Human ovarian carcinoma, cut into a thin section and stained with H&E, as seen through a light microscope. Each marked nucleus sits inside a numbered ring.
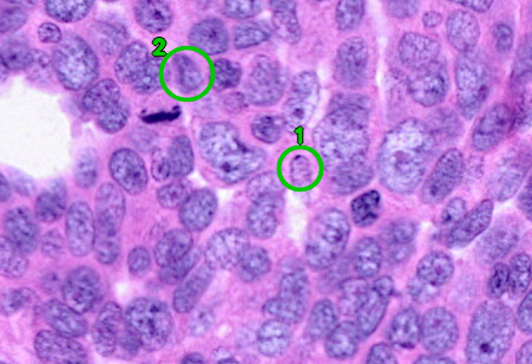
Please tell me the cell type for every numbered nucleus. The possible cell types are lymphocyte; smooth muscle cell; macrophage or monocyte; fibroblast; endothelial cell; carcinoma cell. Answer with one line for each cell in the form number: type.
1: macrophage or monocyte
2: carcinoma cell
